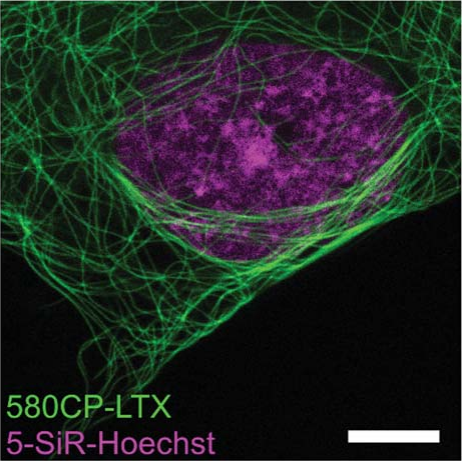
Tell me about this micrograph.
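The microtubules form a dense network of long, thin, curving filaments that fill the cytoplasm and extend to the cell edges. Around the nucleus many filaments bend along its outline, crossing over and past it. The nucleus is large and oval, with chromatin distributed in irregular patches of bright and dim magenta.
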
